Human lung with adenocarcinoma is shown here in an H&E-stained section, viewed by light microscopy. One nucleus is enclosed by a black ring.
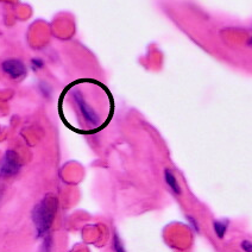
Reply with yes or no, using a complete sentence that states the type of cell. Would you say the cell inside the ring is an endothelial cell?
Yes, it is an endothelial cell that the cell inside the ring is.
